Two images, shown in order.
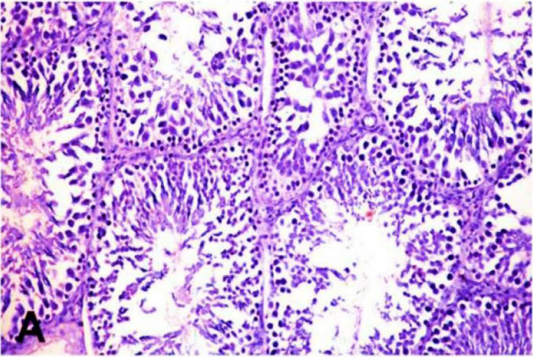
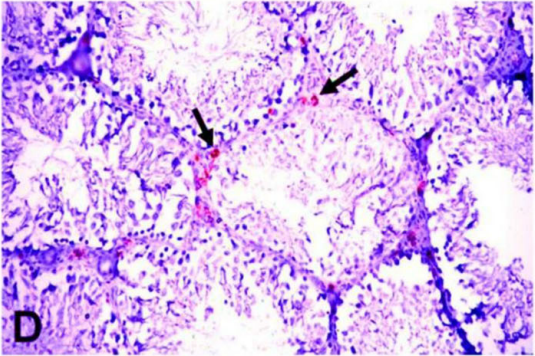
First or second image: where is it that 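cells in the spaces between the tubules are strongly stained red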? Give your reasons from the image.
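First image: the spaces between tubules show almost no red stain, only purple nuclei. Second image: several clusters of red-stained cells sit in the spaces between tubules.
Conclusion: the second image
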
